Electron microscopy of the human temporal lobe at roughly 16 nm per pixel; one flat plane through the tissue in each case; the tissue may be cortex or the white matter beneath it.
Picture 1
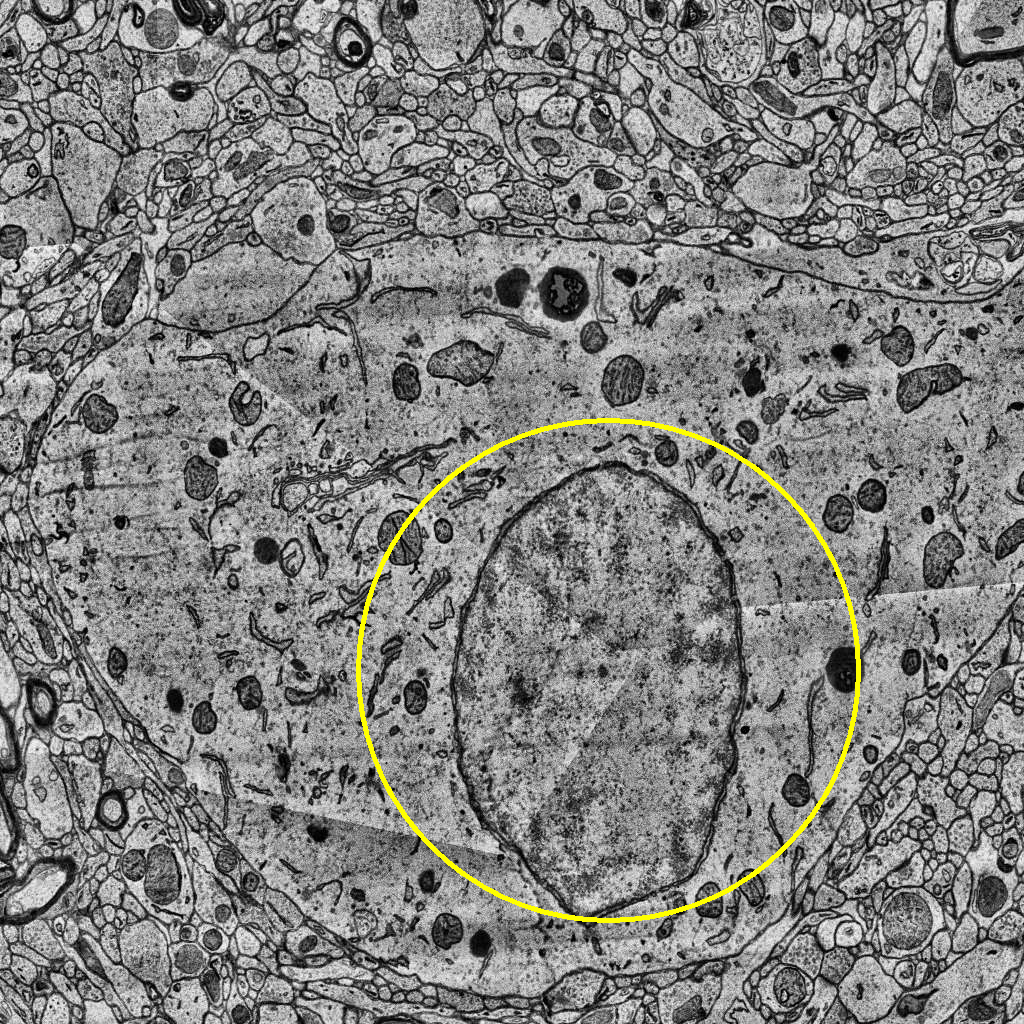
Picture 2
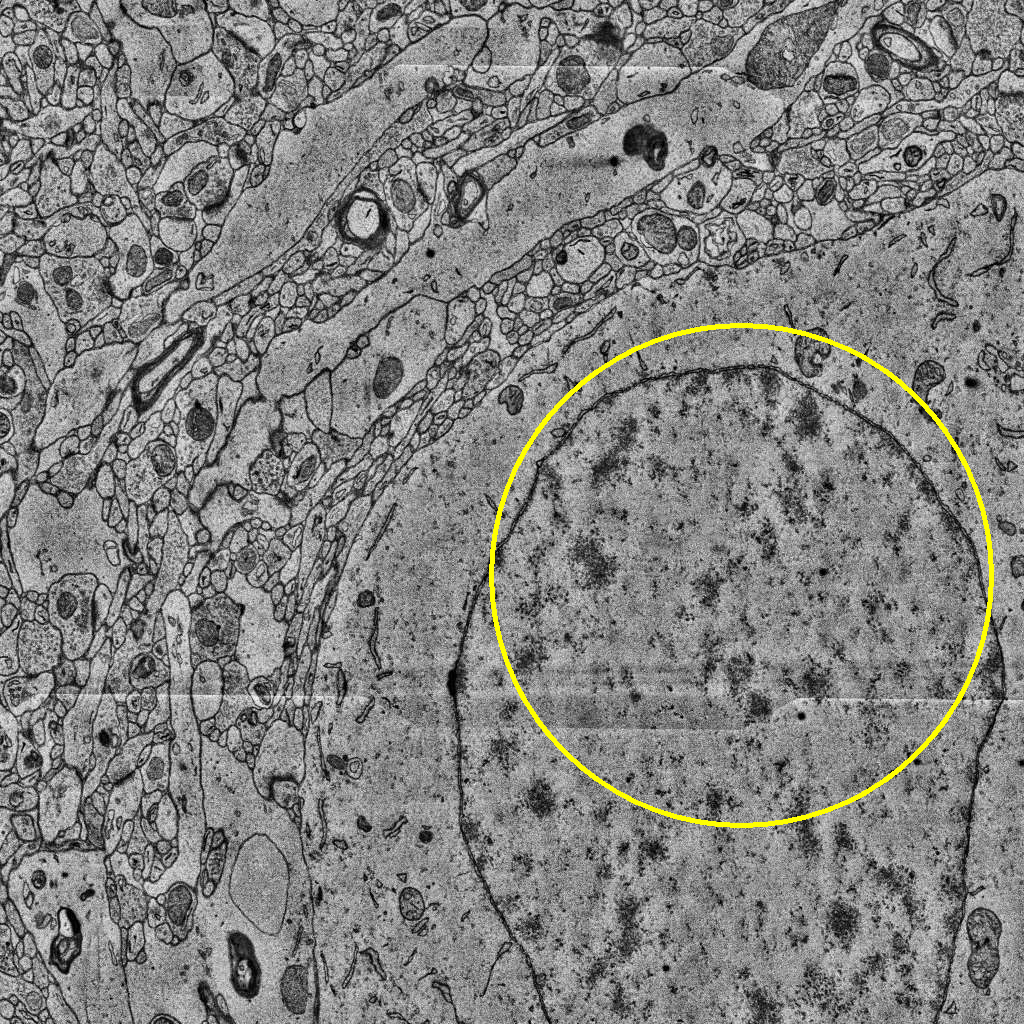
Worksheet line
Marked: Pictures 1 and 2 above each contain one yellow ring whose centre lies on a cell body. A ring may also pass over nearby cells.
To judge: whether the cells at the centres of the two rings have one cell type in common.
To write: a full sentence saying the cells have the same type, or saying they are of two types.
The cells at the centres of the rings in Picture 1 and Picture 2 have the same type.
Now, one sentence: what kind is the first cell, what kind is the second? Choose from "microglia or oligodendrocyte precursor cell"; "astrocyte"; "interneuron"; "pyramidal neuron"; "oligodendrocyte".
Both pictures show a pyramidal neuron at the centre of the ring.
